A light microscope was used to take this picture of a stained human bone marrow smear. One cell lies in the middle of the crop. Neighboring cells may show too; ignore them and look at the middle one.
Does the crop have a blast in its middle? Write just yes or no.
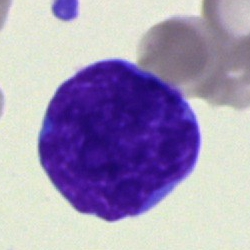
yes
